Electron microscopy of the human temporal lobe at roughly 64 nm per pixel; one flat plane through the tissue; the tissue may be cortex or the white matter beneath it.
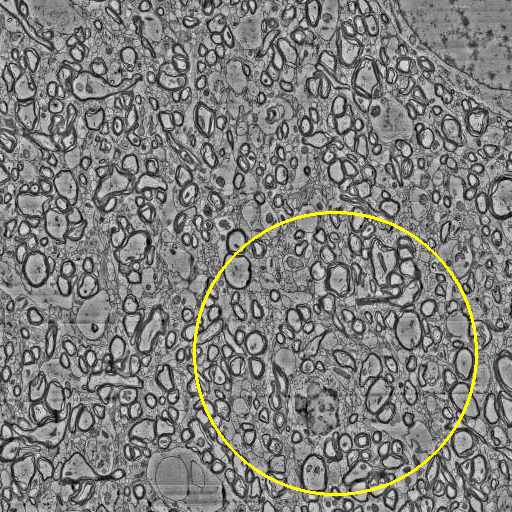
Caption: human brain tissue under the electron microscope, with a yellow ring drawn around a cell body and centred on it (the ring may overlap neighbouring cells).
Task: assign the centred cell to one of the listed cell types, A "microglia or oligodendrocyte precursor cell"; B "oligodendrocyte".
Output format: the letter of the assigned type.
A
